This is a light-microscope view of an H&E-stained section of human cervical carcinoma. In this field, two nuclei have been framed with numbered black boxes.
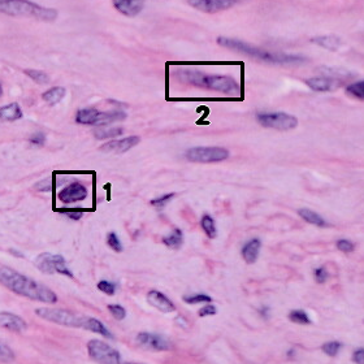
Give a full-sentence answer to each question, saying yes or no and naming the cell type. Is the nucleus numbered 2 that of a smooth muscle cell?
Yes, the cell pointed out as number 2 is a smooth muscle cell.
